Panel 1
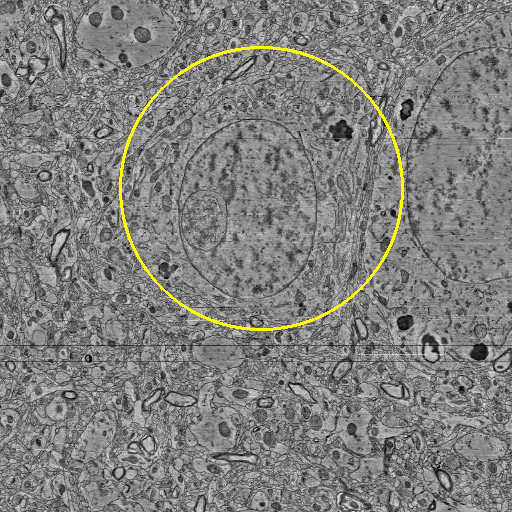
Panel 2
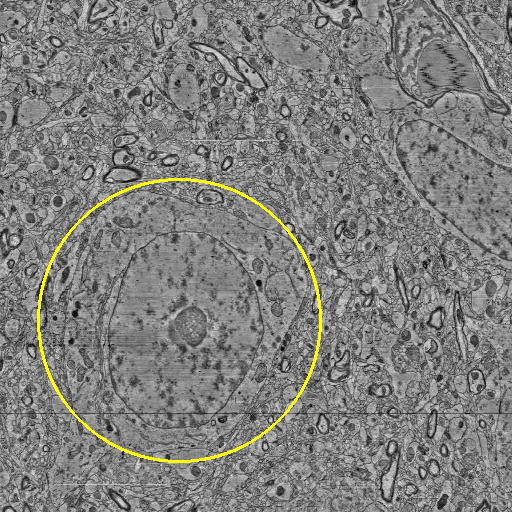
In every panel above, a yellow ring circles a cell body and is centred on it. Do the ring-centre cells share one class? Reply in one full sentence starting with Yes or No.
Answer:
No, the two cells at the ring centres in the panels belong to two classes.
